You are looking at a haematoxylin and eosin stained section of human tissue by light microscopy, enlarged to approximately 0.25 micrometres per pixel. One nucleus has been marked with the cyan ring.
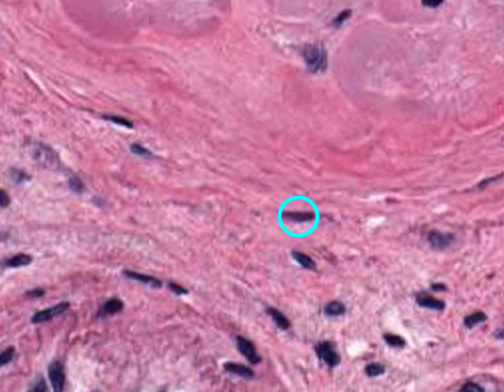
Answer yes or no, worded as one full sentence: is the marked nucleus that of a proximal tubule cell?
No, the marked nucleus is contained in a supporting cell and not in a proximal tubule cell.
